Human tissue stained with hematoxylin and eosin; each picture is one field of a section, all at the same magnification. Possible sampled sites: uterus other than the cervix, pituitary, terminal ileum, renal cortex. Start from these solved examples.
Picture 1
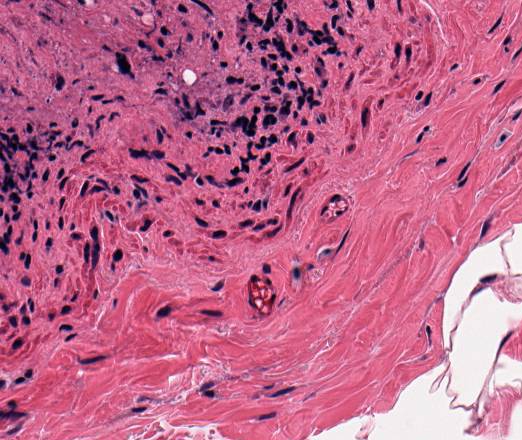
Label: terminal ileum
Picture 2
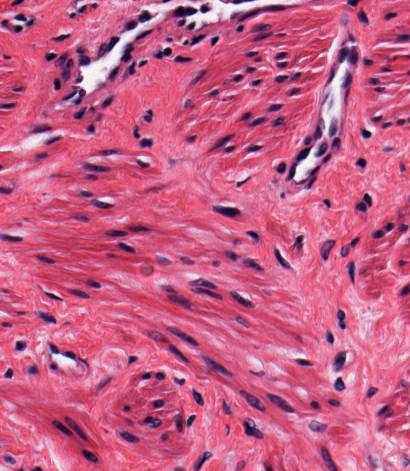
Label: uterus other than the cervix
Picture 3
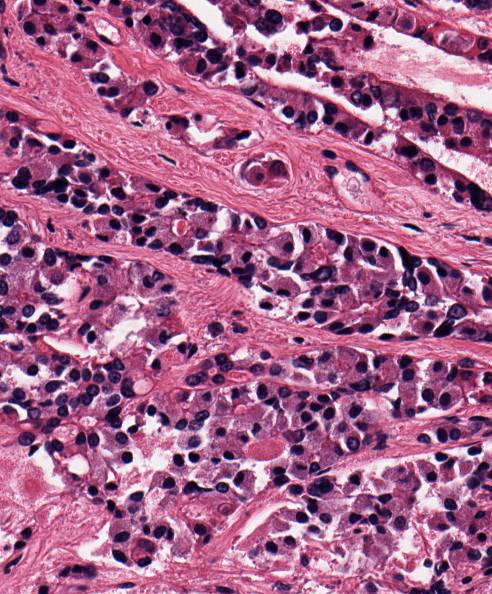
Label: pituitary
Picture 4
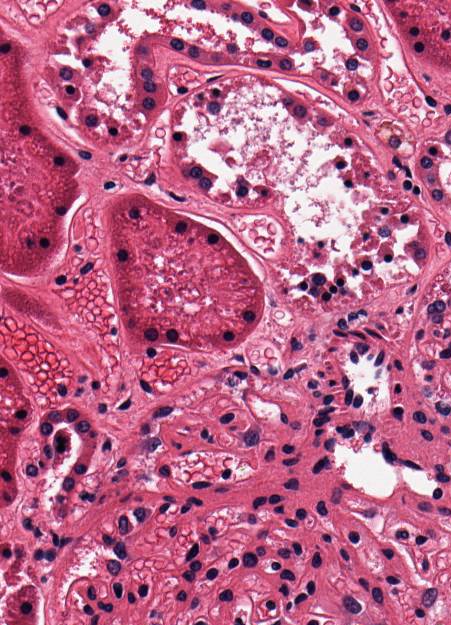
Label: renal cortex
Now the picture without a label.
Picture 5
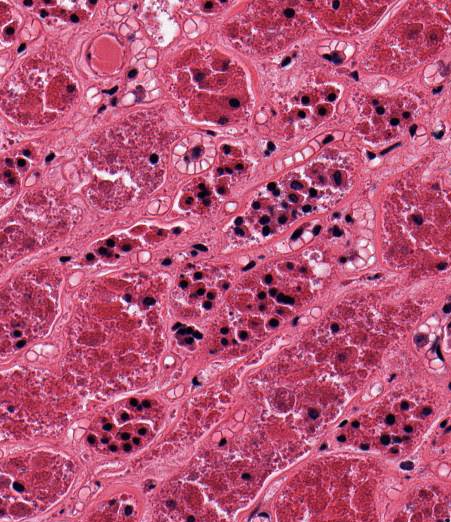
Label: renal cortex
